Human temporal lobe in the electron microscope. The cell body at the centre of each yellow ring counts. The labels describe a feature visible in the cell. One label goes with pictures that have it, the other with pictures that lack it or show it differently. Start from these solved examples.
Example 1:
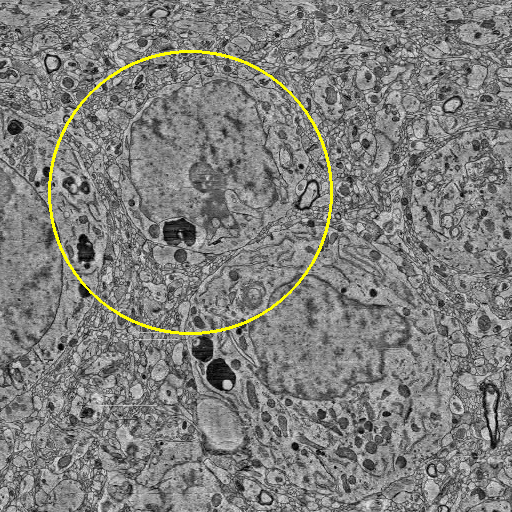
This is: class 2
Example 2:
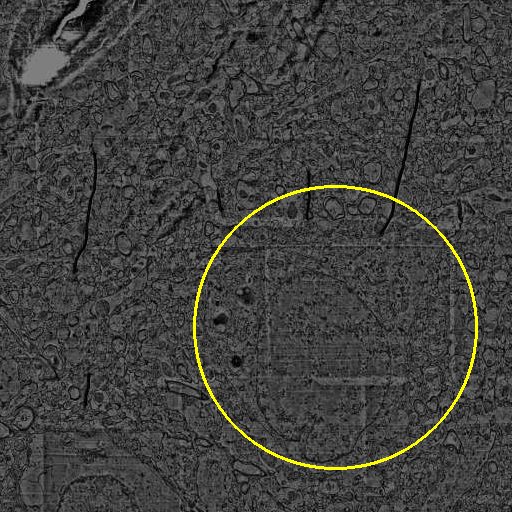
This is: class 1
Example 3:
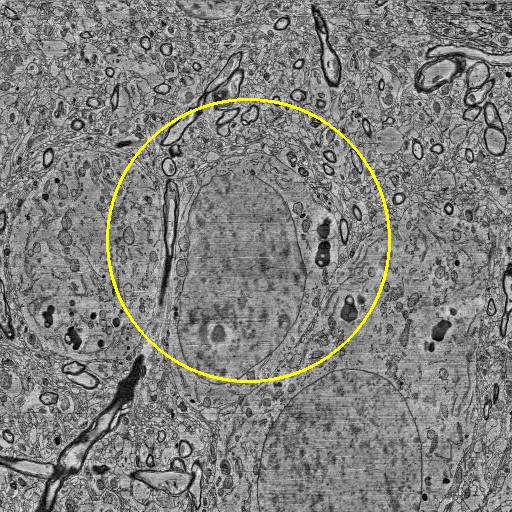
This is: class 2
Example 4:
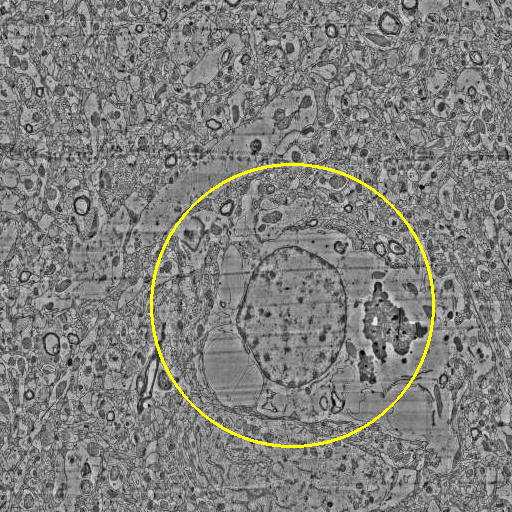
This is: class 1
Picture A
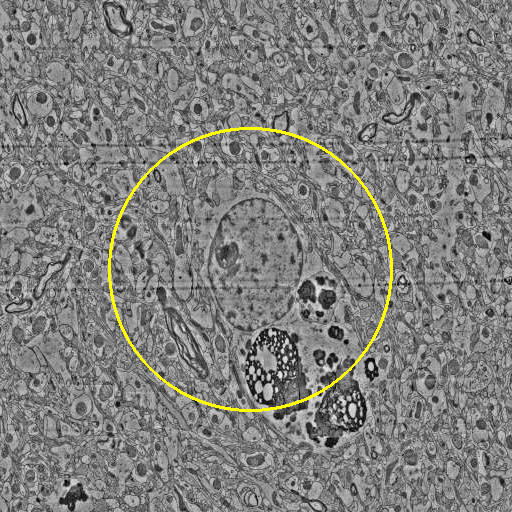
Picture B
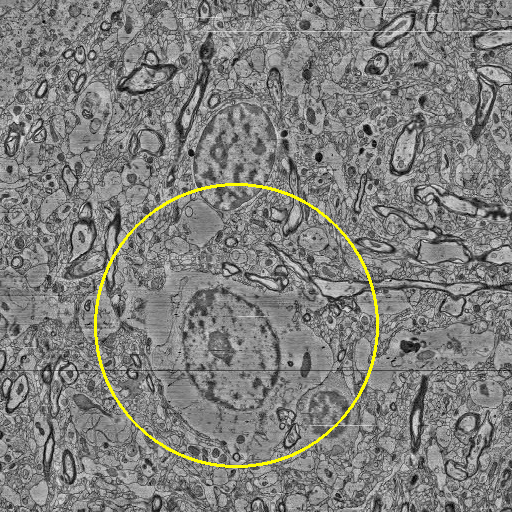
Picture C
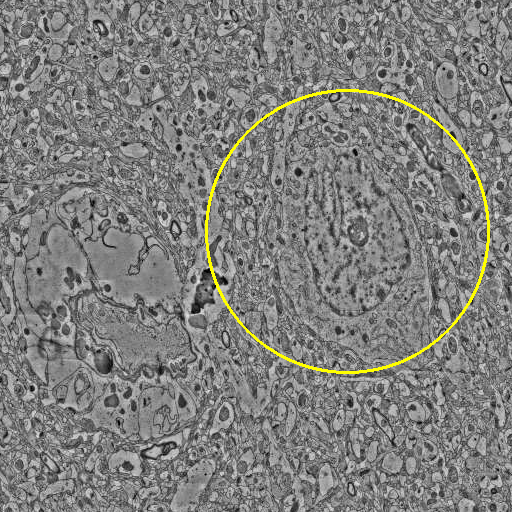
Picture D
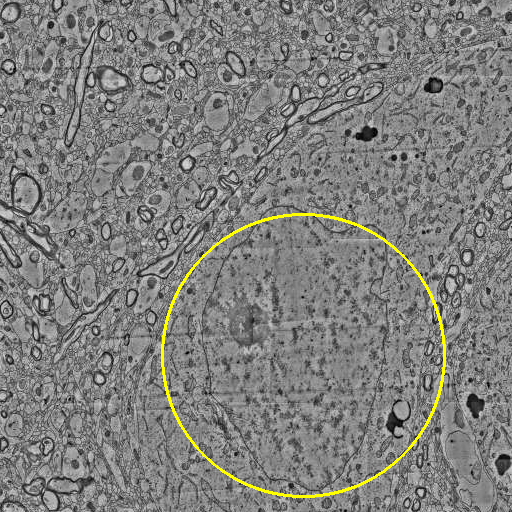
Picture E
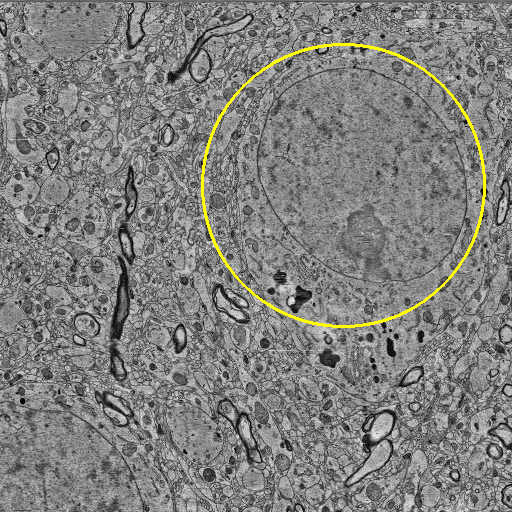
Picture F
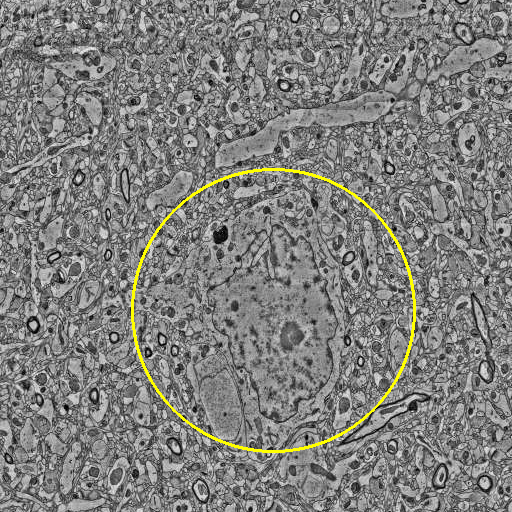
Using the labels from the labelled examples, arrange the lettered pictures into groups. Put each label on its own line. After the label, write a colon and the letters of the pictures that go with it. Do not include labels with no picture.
class 2: A, B, C, D, E, F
